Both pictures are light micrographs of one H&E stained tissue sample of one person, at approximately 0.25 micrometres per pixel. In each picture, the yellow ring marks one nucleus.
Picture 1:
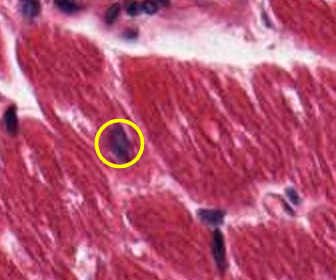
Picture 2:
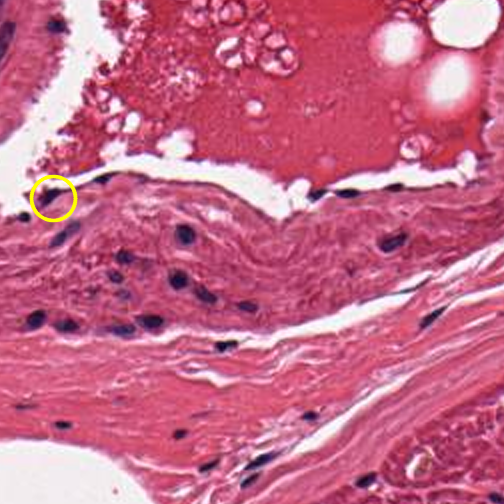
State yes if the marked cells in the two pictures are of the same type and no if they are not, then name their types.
No, the first is a cardiomyocyte and the second an endothelial cell.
